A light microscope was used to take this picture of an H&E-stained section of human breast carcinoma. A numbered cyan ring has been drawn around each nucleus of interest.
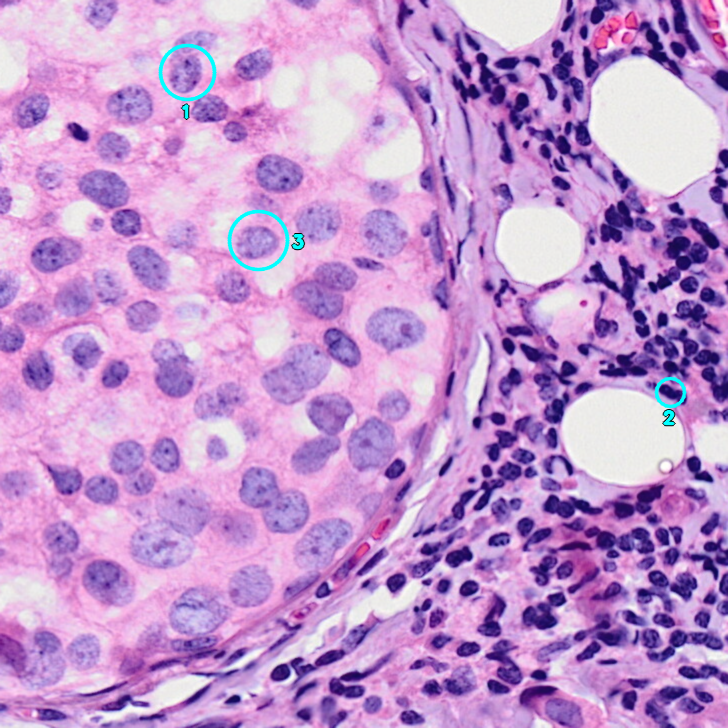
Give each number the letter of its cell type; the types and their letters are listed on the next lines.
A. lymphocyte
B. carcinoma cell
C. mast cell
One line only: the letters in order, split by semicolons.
B; A; B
